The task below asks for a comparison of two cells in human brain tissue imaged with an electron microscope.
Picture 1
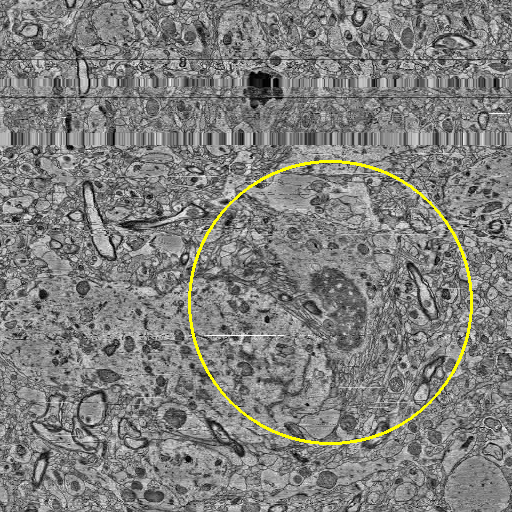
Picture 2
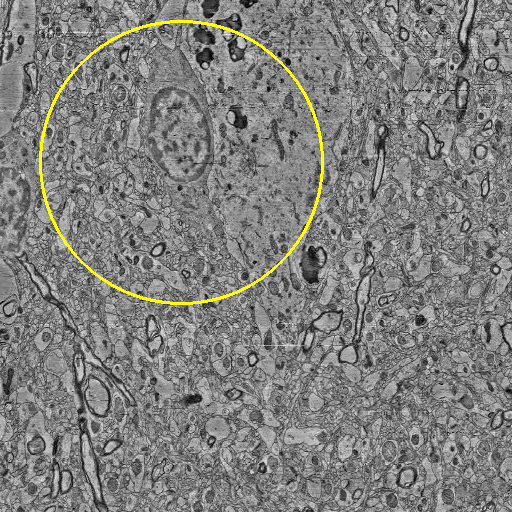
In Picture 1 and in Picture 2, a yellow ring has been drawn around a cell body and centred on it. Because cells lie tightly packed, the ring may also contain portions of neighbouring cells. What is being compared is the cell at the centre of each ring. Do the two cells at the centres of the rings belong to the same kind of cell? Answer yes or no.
yes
